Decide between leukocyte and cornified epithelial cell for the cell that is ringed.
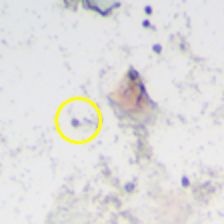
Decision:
I take the ringed cell for a leukocyte.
